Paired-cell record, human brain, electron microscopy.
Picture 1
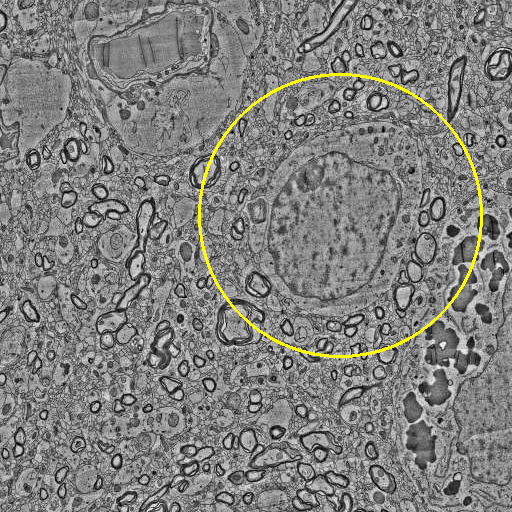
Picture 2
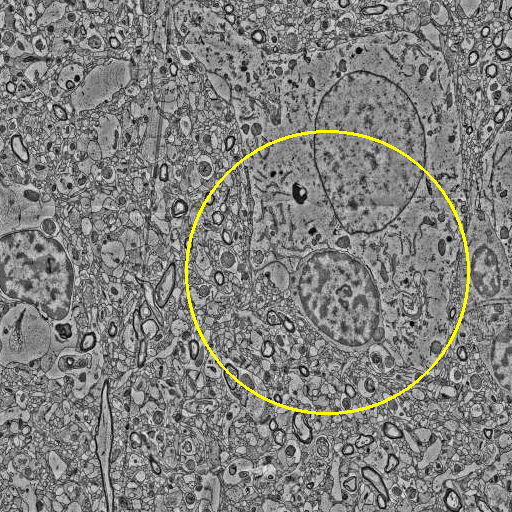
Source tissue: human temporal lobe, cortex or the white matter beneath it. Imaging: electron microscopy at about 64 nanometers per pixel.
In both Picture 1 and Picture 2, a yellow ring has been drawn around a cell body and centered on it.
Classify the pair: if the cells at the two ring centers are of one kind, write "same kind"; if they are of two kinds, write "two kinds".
two kinds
